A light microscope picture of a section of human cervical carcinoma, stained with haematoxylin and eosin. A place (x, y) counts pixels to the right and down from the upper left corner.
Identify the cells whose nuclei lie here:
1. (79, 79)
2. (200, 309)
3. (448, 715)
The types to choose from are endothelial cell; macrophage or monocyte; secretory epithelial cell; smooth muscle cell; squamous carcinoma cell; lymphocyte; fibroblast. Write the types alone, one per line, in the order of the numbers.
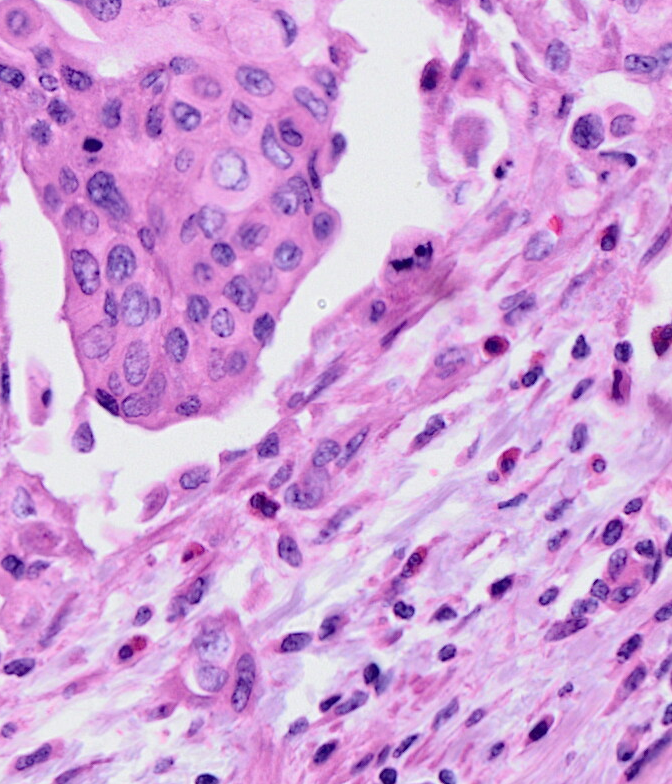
squamous carcinoma cell
squamous carcinoma cell
fibroblast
